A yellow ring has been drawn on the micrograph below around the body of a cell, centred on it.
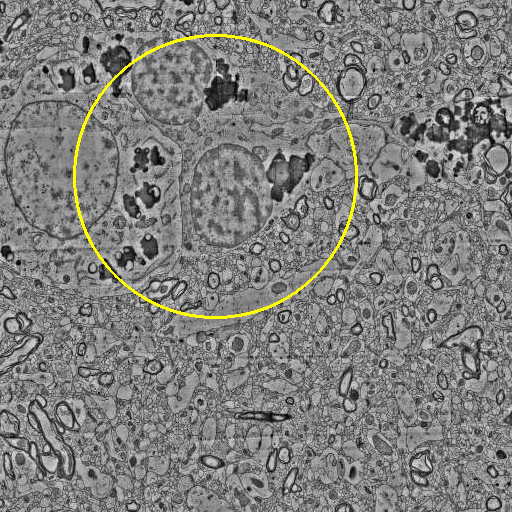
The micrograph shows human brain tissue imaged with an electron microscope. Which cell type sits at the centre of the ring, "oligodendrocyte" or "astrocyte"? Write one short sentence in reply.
The cell sitting at the centre of the ring is an oligodendrocyte.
